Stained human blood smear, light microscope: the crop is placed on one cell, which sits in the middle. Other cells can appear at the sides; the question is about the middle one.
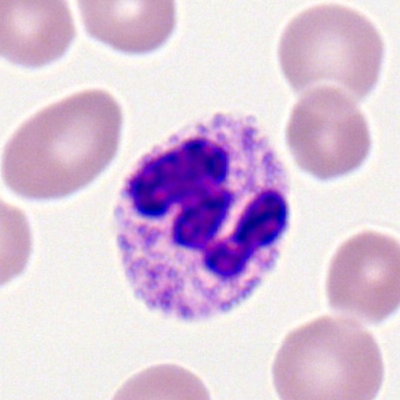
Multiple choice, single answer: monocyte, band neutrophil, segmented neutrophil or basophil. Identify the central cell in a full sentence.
For this crop, the central cell is a segmented neutrophil.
